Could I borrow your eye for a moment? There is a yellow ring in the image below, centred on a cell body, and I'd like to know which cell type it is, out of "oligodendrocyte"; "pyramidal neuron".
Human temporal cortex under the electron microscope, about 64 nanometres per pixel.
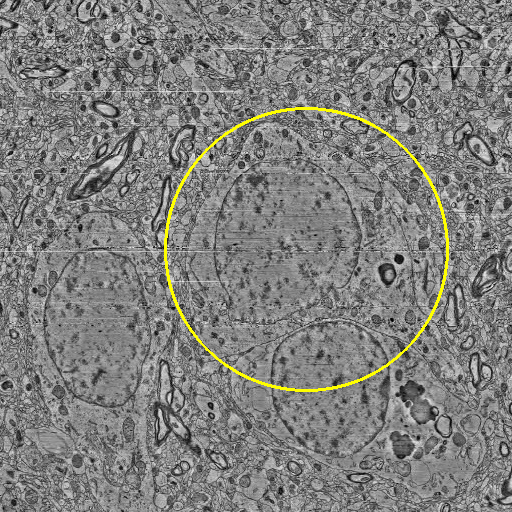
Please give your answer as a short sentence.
The cell body at the centre is that of a pyramidal neuron.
